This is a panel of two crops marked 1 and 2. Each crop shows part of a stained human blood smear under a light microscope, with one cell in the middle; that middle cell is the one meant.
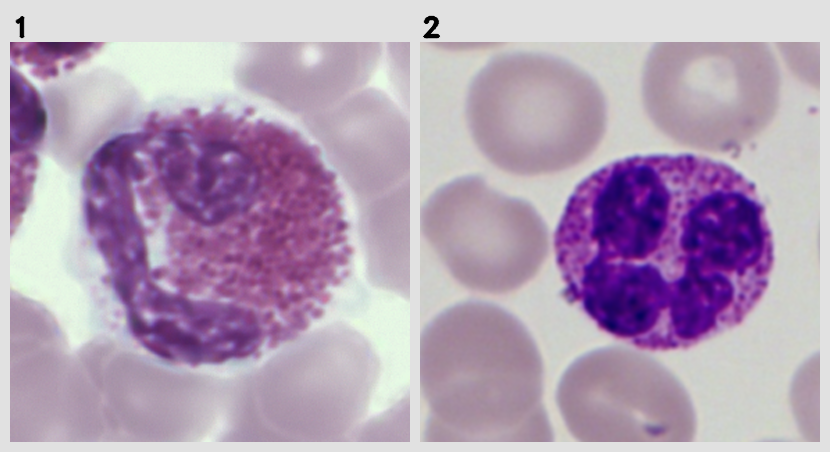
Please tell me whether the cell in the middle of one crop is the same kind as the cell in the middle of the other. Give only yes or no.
yes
